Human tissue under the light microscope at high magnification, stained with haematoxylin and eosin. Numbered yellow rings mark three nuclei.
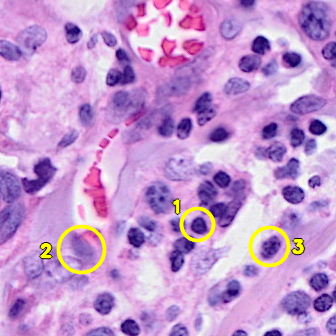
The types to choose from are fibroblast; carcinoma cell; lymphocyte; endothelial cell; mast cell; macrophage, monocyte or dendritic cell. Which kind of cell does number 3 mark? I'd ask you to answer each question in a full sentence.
The cell bearing label 3 corresponds to a lymphocyte.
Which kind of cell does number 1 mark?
The cell identified by number 1 is a lymphocyte.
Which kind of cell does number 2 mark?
Within this field of view, the cell labelled 2 is an endothelial cell.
